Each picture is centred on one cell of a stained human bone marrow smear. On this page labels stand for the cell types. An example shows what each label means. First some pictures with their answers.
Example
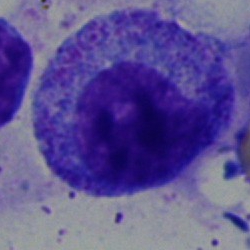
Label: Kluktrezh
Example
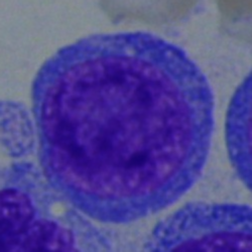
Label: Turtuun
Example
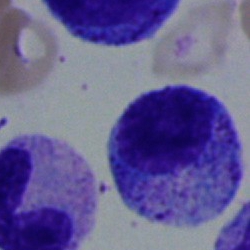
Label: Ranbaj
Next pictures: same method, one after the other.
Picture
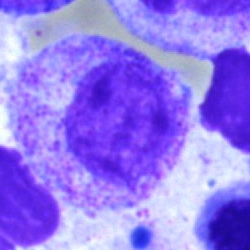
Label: Ranbaj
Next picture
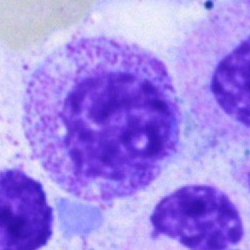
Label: Ranbaj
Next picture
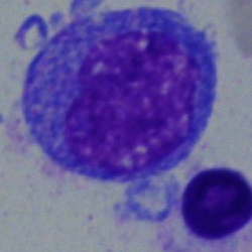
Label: Turtuun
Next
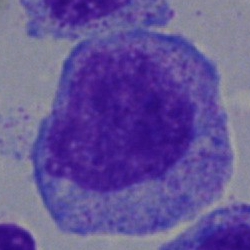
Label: Kluktrezh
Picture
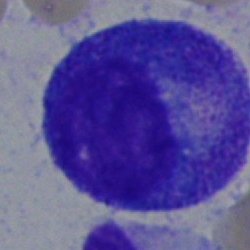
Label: Kluktrezh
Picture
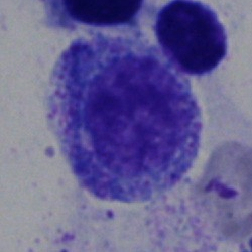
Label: Kluktrezh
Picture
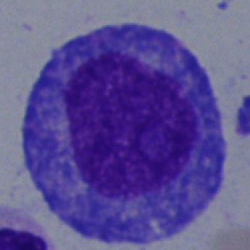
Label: Kluktrezh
